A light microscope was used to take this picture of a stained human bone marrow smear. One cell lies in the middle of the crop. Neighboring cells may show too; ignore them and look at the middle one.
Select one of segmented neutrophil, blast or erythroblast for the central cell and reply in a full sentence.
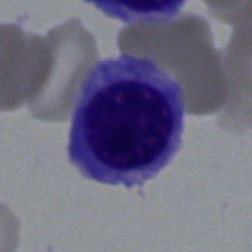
At the center of the crop sits an erythroblast.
